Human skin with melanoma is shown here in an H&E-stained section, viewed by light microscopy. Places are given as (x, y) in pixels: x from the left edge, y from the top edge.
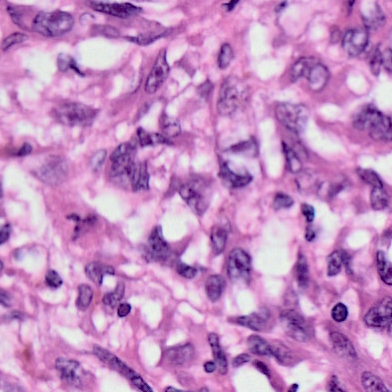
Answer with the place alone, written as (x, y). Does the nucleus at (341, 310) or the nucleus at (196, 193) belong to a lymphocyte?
(341, 310)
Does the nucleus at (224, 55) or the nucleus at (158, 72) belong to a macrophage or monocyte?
(224, 55)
